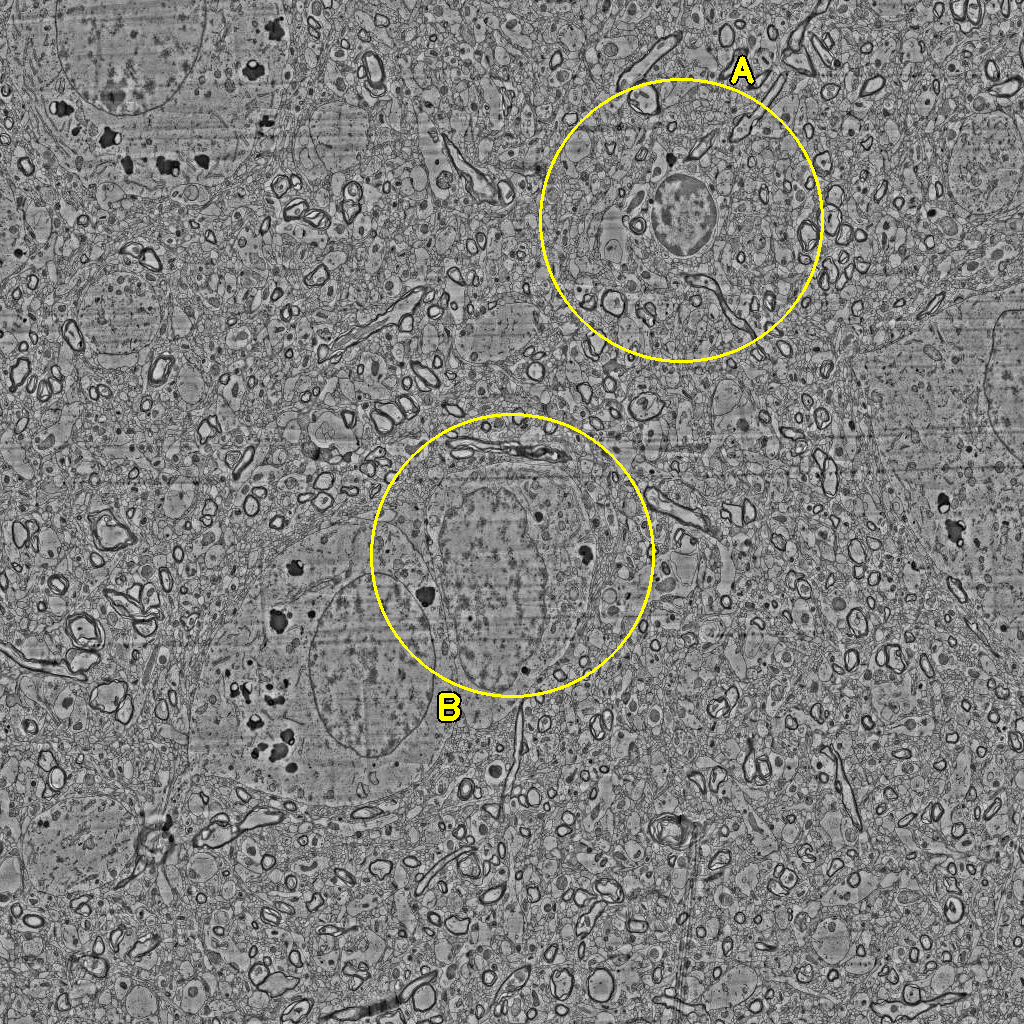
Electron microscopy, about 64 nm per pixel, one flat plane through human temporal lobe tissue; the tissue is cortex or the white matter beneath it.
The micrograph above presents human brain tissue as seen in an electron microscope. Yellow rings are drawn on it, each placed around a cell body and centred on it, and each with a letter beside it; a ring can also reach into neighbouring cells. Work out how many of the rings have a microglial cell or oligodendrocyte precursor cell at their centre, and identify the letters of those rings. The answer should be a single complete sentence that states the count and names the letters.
In the micrograph, a microglial cell or oligodendrocyte precursor cell sits at the centre of a single ring, lettered A.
